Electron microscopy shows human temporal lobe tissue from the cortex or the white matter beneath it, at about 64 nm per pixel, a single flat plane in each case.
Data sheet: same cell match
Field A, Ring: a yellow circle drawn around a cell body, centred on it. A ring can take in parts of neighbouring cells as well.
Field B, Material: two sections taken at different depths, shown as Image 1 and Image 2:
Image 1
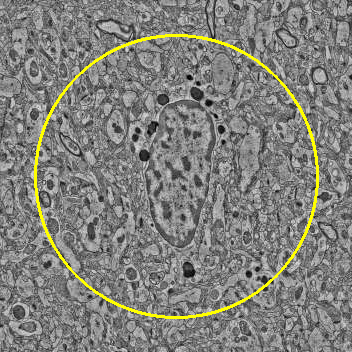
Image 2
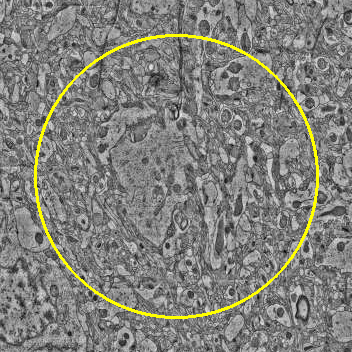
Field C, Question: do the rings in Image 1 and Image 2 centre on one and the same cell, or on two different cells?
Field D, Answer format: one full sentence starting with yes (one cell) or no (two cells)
No, each ring encloses a different cell in the tissue.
